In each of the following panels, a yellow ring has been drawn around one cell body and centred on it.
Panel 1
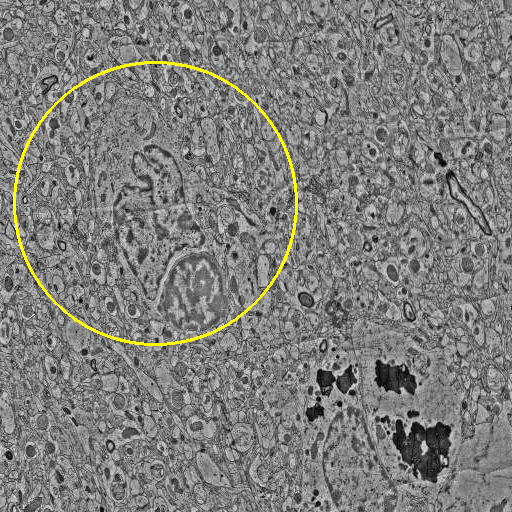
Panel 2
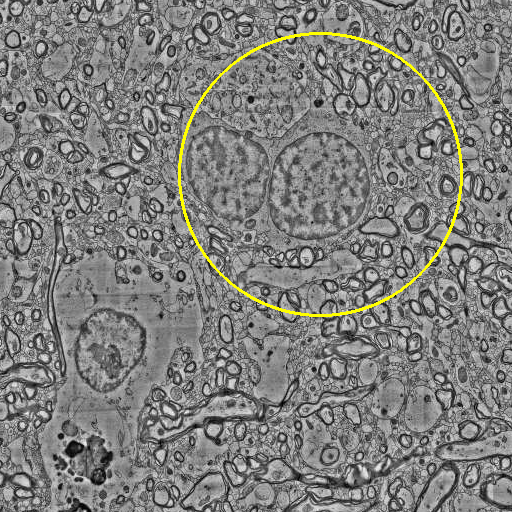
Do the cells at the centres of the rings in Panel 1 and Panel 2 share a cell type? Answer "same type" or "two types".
two types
